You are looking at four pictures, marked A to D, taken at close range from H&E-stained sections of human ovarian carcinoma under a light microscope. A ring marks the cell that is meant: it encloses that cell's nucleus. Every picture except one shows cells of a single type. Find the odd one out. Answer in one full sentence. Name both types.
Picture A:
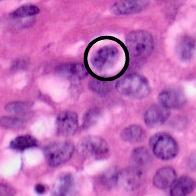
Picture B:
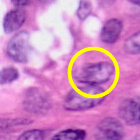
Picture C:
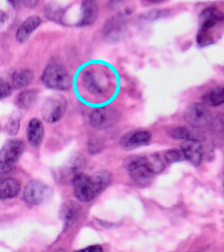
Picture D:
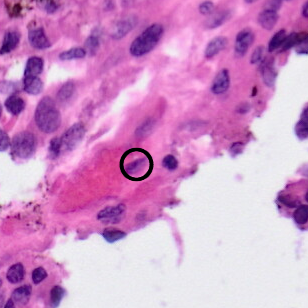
Picture A differs, because its cell is a “macrophage or monocyte” and the rest are endothelial cells.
